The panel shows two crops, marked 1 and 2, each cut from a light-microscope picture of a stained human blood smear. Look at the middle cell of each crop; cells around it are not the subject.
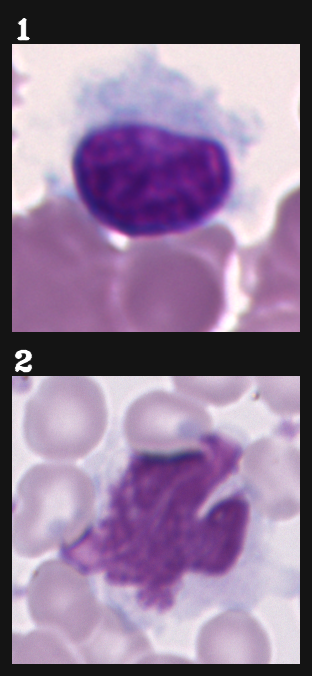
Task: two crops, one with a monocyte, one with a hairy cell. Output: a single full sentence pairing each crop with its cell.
There is a hairy cell in crop 1 and a monocyte in crop 2.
